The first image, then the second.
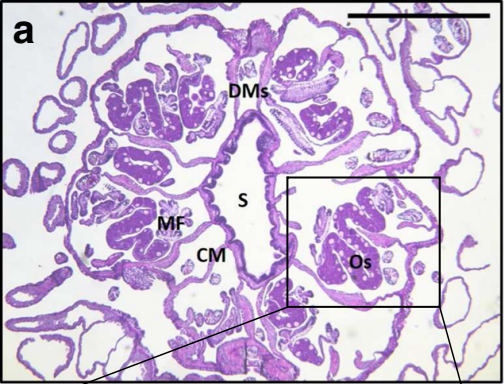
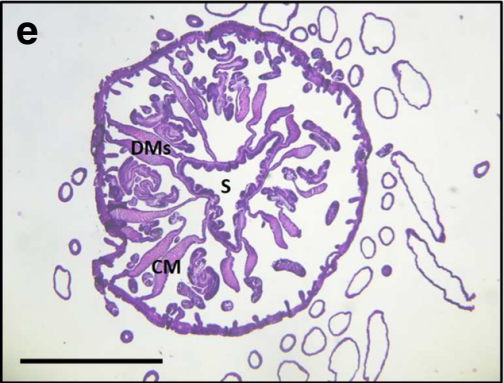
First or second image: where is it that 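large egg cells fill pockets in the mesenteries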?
The first image.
